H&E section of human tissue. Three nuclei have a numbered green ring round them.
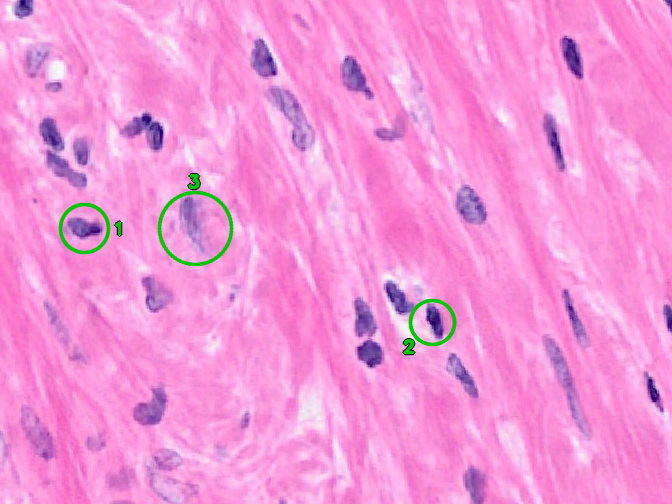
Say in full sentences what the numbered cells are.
Cells 1 and 2 are lymphocytes. Cell 3 is a fibroblast.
